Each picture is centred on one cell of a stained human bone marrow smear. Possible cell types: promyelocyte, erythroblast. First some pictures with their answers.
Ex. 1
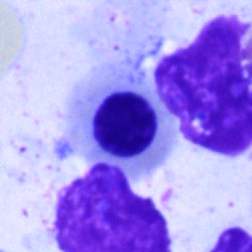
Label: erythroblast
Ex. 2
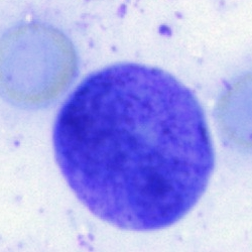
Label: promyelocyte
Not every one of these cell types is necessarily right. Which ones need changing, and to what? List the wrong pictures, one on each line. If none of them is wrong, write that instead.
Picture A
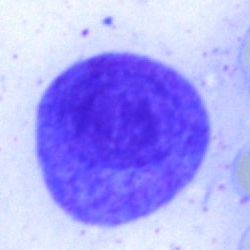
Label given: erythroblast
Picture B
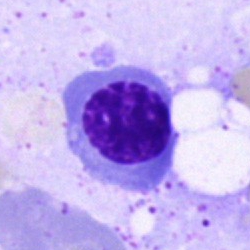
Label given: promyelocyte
A: not erythroblast but promyelocyte
B: not promyelocyte but erythroblast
